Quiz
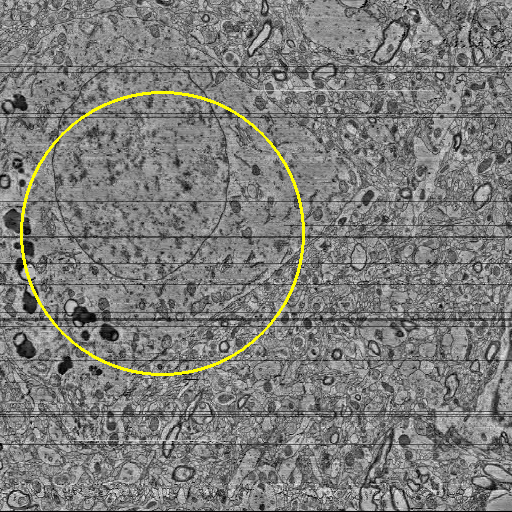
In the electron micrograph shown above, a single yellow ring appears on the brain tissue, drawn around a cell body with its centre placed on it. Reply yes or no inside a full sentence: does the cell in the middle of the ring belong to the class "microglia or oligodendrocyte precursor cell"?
No, the cell at the centre of the ring in the picture belongs to a different class.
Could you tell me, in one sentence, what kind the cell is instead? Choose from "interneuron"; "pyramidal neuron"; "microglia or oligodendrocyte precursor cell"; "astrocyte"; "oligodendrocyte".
The ring's central cell is a pyramidal neuron instead.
